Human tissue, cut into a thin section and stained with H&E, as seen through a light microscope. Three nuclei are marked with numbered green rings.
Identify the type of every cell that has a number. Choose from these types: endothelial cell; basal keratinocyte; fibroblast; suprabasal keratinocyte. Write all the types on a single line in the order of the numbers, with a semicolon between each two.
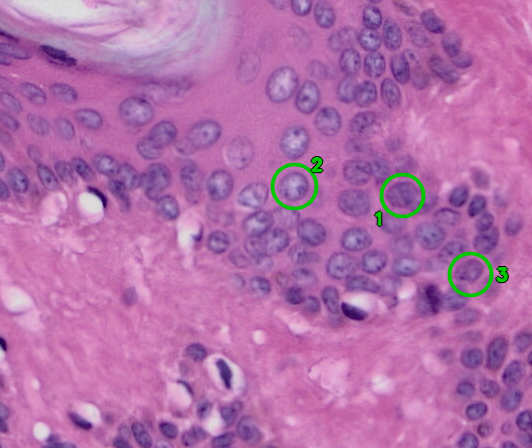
basal keratinocyte; suprabasal keratinocyte; basal keratinocyte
